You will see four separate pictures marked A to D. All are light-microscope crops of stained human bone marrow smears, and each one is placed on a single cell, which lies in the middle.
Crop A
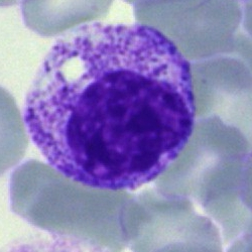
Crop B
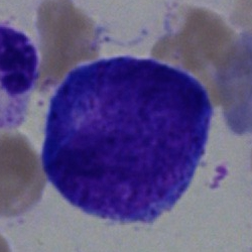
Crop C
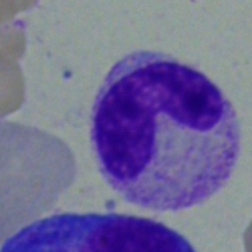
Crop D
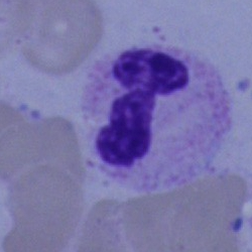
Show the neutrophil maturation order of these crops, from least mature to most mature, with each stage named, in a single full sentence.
Maturity order, least to most: crop B (a promyelocyte), crop A (a myelocyte), crop C (a band neutrophil) and crop D (a segmented neutrophil).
